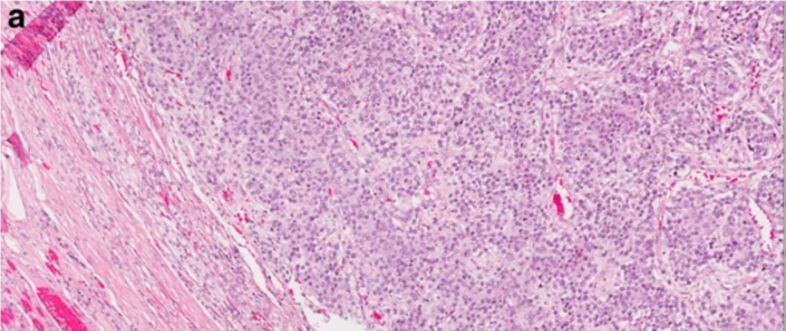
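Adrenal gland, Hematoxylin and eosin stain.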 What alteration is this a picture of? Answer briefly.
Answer: Tumor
